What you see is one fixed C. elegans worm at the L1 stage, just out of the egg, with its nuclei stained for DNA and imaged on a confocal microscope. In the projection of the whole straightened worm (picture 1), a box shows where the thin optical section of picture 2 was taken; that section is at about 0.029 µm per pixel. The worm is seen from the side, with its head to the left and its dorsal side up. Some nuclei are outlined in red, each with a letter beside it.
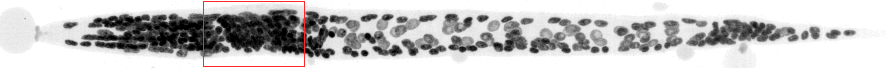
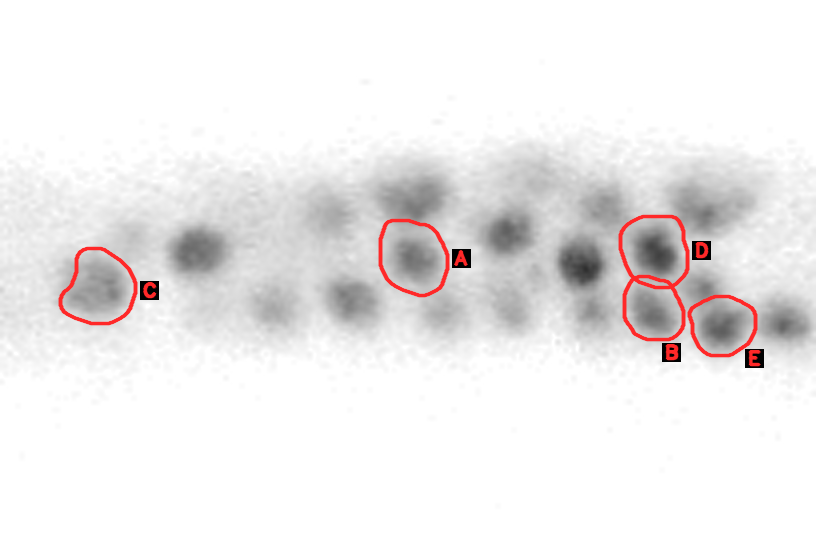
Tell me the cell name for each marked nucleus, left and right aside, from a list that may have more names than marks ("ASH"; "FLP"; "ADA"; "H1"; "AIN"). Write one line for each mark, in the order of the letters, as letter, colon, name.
A: ASH
B: FLP
C: H1
D: AIN
E: ADA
